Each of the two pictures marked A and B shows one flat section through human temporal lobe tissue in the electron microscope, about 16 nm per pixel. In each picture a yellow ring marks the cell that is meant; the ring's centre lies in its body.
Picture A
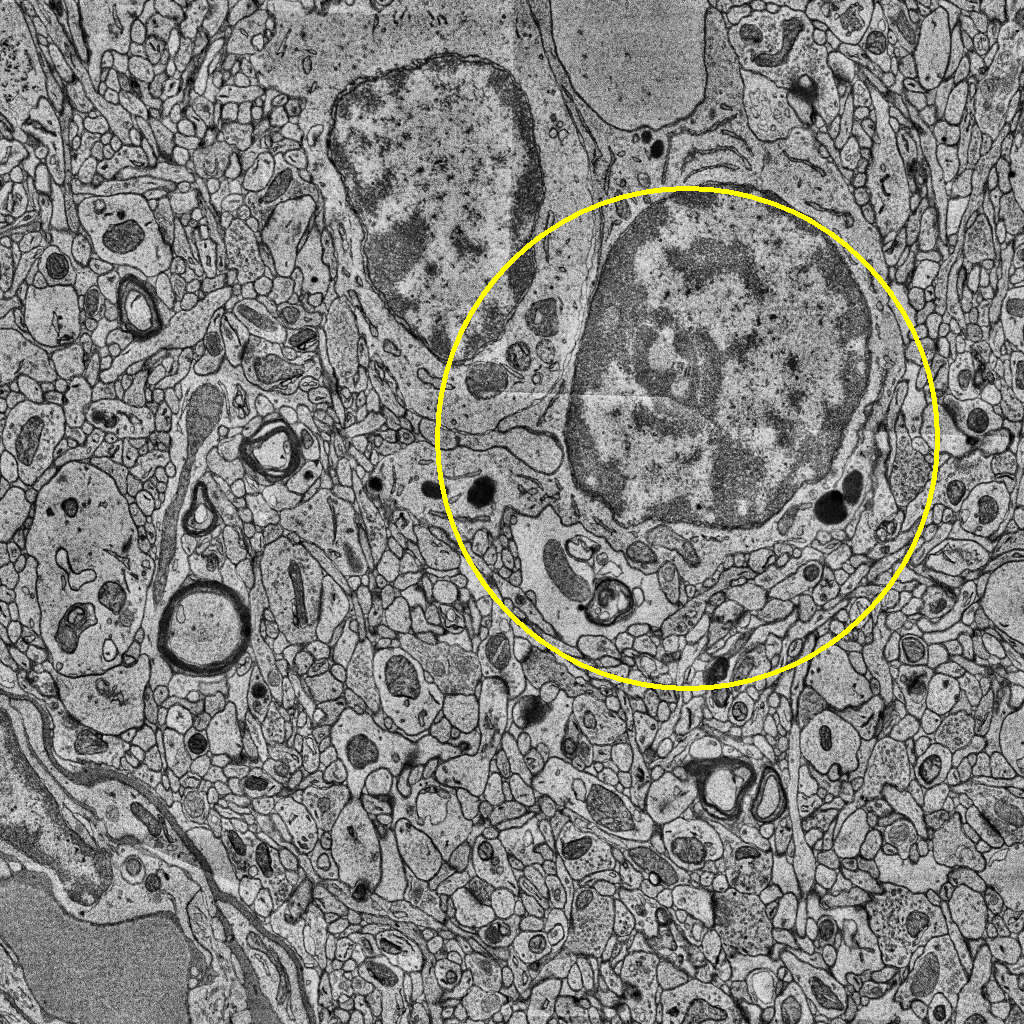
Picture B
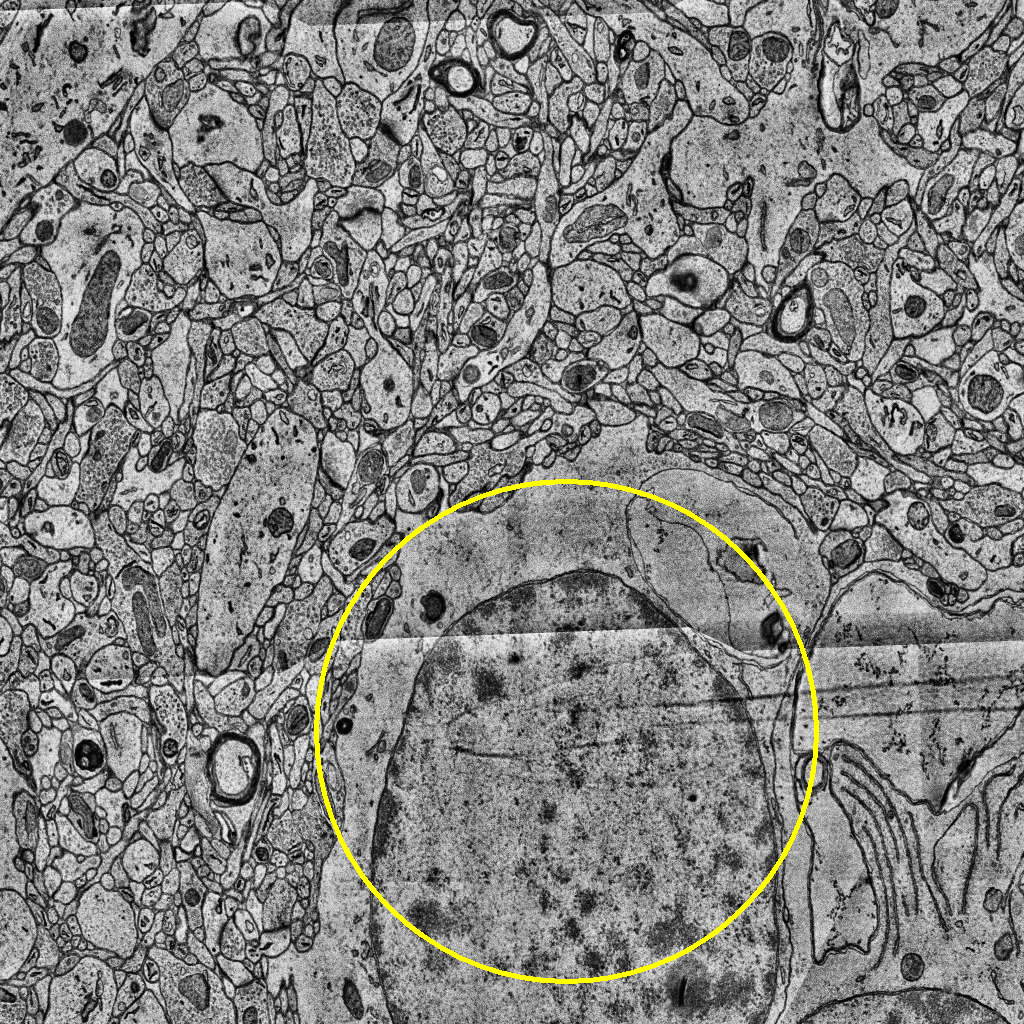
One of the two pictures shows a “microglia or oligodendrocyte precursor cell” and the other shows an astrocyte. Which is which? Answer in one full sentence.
The cell in picture A is a “microglia or oligodendrocyte precursor cell”, and the one in picture B is an astrocyte.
